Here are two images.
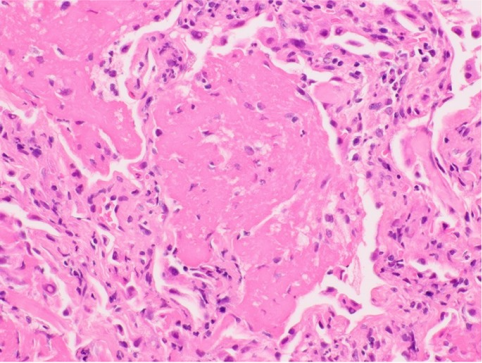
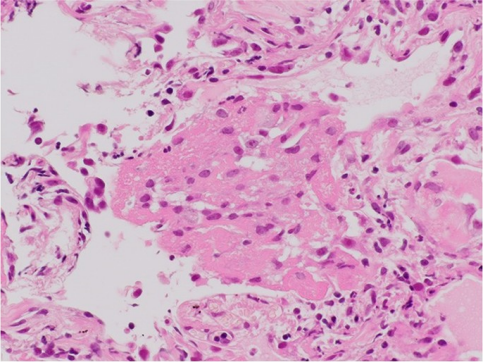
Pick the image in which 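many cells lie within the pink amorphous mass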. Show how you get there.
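Second image: many nuclei are scattered through the central pink mass.
Hence: the second image.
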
